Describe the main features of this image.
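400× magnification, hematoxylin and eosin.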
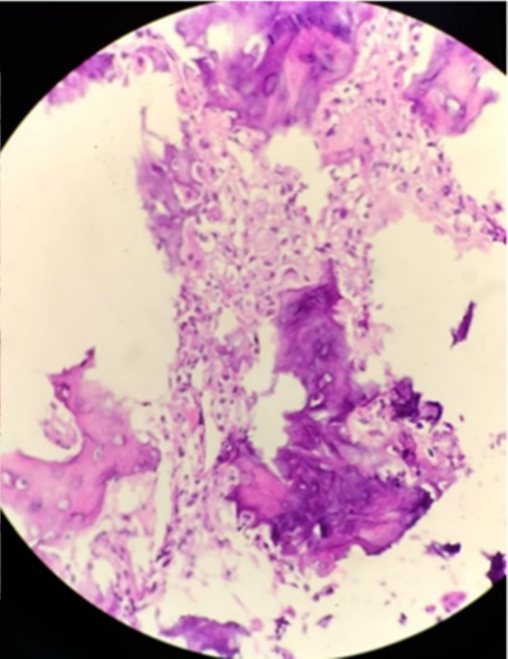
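Trabeculae of osteoid, some pale pink and others deeply purple, are separated by loose fibrovascular tissue with scattered nuclei. Cells lie in lacunae within the matrix, and cells are also seen along the borders of the trabeculae.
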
